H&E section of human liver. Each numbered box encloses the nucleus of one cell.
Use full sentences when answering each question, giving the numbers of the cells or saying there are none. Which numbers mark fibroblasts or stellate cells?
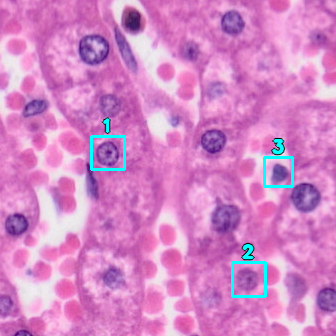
There is not a single one of the fibroblasts or stellate cells among the numbered cells.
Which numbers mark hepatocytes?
The cells 1 and 2 in this section are hepatocytes.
